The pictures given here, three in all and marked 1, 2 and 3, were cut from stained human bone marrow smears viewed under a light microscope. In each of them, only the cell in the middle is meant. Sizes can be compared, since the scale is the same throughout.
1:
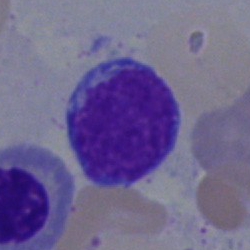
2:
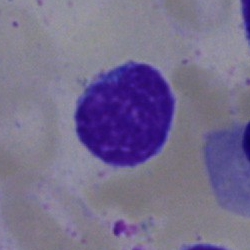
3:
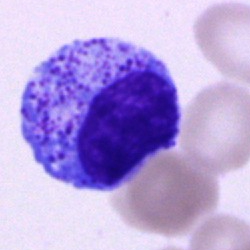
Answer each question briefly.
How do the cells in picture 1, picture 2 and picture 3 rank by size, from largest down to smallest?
3, 1, 2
